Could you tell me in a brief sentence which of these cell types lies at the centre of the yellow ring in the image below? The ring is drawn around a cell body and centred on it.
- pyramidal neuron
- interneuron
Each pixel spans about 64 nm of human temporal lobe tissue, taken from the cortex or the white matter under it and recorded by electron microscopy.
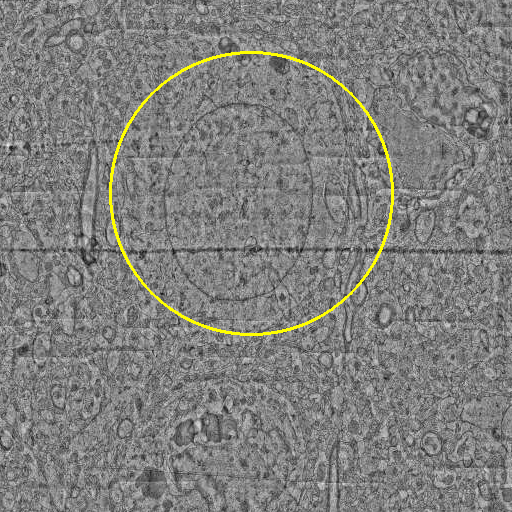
The cell centred in the ring is a pyramidal neuron.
